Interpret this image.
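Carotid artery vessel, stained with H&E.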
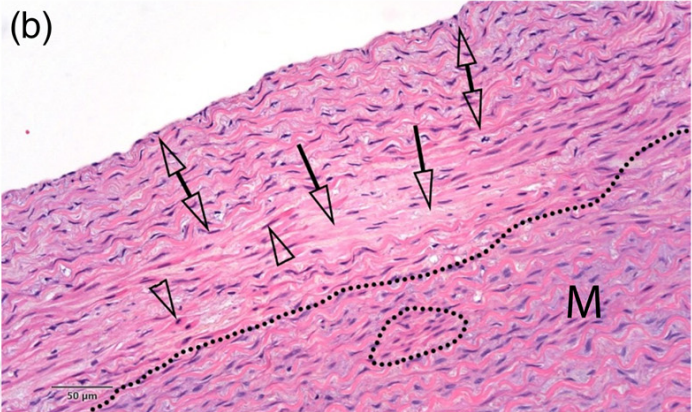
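A dotted line separates a lower region, where cells with elongated, wavy nuclei lie in a looser, more purple-tinged matrix, from an upper region. Toward the surface at the top the fibres are wavy, with scattered nuclei.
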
